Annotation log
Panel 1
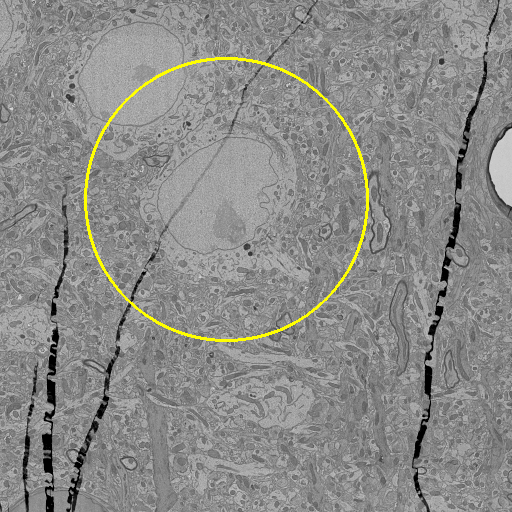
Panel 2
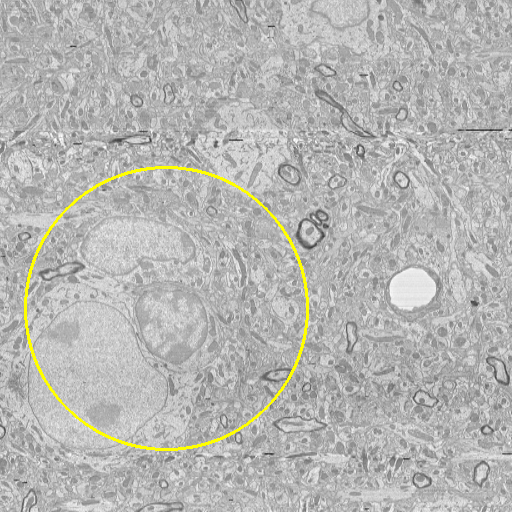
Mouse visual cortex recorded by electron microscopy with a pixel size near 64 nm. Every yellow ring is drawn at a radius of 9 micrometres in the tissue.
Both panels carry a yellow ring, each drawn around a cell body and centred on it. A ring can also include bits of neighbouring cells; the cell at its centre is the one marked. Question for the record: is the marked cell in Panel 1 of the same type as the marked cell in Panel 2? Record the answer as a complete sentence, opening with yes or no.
No, the marked cells in Panel 1 and Panel 2 are of two types.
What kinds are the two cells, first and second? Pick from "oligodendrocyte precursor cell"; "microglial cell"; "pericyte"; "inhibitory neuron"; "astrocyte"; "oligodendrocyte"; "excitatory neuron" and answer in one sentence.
The second picture holds an oligodendrocyte in its ring, and the first holds an excitatory neuron.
